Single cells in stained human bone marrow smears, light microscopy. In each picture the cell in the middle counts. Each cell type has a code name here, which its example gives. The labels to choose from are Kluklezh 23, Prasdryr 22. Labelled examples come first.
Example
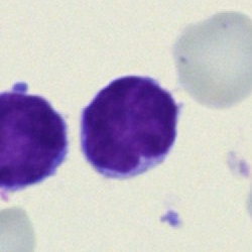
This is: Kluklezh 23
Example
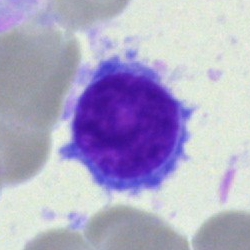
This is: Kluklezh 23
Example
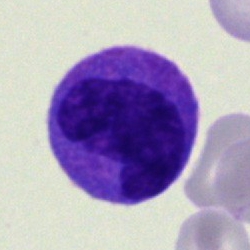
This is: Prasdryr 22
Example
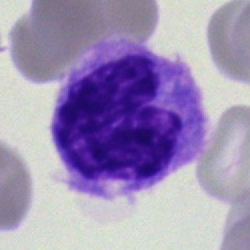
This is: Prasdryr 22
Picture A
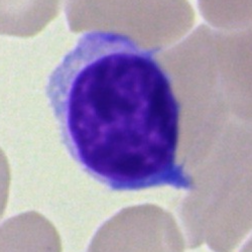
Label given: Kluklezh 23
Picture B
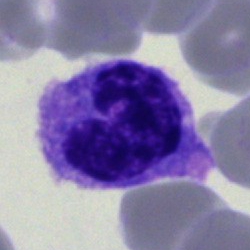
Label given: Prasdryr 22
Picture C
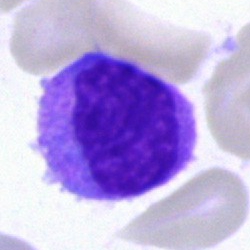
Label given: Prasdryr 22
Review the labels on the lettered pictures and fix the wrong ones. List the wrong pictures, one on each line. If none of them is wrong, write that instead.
Every label is right.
